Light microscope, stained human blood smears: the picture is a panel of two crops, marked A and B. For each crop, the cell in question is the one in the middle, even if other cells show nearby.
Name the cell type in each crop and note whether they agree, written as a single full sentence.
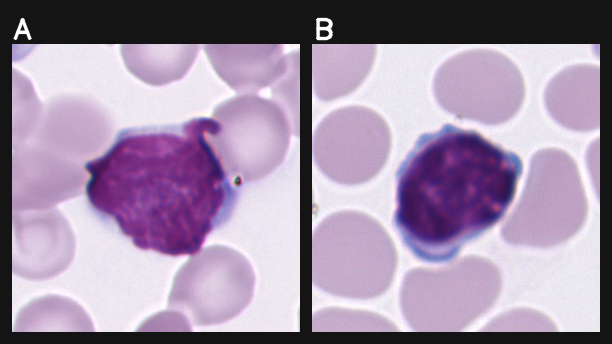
Yes, that is right, both crops show typical lymphocytes.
